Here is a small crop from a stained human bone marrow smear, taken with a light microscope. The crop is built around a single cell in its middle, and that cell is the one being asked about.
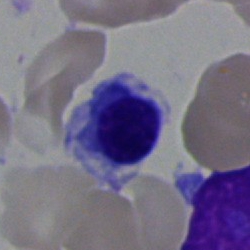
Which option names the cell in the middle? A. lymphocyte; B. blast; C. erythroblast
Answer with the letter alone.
C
